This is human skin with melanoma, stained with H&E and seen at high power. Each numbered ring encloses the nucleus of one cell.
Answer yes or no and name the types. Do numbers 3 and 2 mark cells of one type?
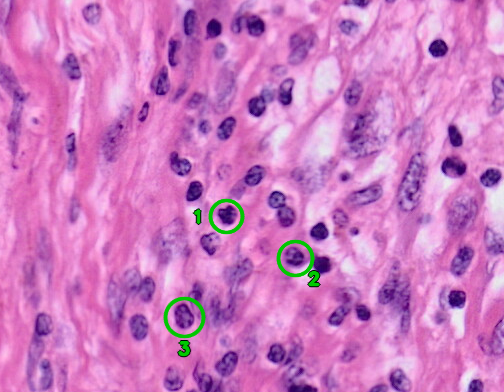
No, sorry, cell 3 is a lymphocyte and cell 2 is a plasma cell.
